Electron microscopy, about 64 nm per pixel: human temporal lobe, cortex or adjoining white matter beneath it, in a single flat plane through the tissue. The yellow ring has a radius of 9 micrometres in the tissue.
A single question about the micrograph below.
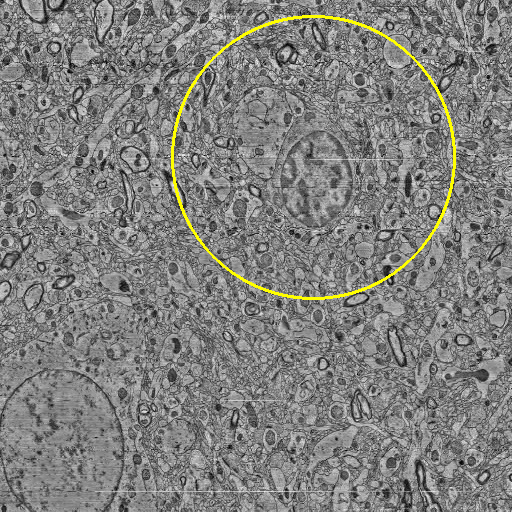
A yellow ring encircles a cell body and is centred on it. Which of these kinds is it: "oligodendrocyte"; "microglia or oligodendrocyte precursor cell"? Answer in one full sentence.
The cell body at the centre of the yellow ring belongs to an oligodendrocyte.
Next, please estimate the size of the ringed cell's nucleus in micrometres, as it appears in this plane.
In this plane the nucleus is about 6 micrometres by 5.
